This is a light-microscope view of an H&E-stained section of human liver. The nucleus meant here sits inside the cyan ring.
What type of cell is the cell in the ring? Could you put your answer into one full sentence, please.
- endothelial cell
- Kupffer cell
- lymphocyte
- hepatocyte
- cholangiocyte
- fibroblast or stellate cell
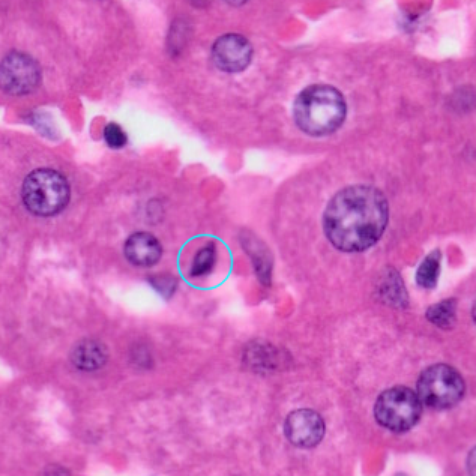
The expected answer is simply that the cell in the ring is a fibroblast or stellate cell.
